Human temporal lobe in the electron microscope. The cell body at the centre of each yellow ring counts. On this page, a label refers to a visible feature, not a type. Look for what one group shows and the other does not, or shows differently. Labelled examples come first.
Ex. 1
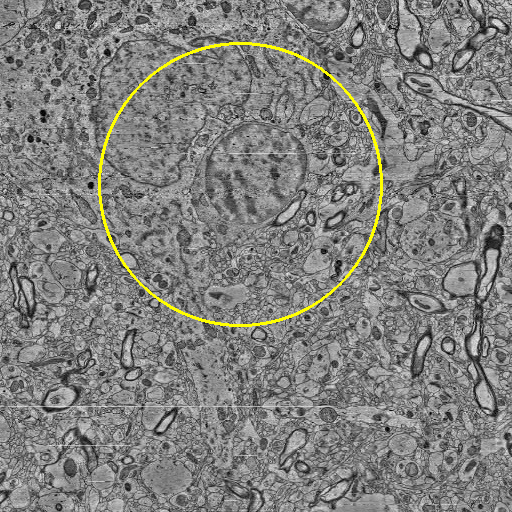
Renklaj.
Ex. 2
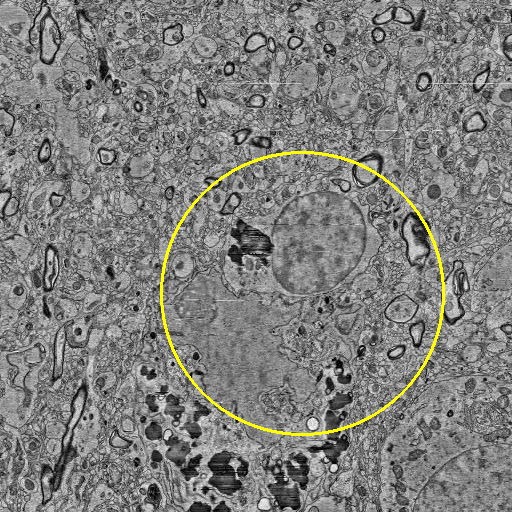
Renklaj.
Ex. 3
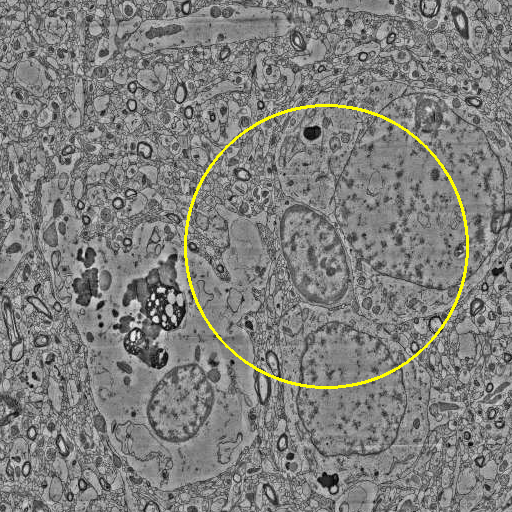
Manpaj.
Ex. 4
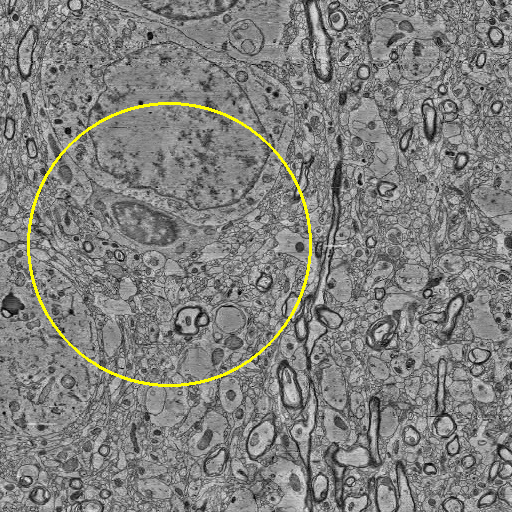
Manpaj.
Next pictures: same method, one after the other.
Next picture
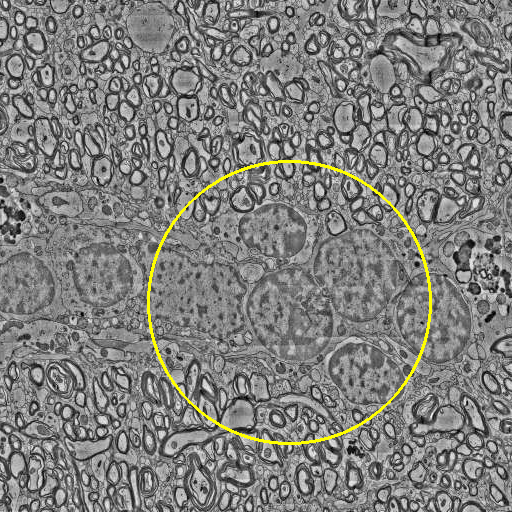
Renklaj.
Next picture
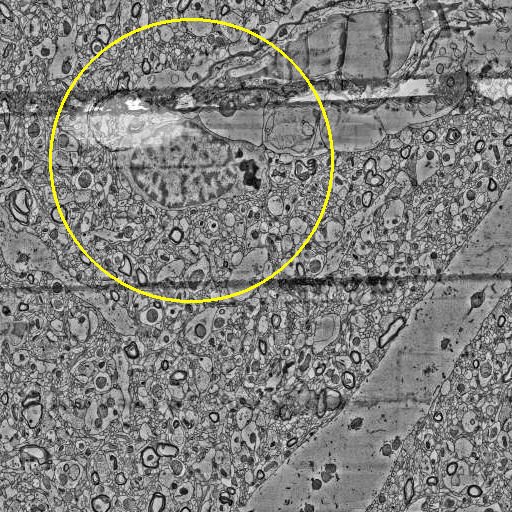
Manpaj.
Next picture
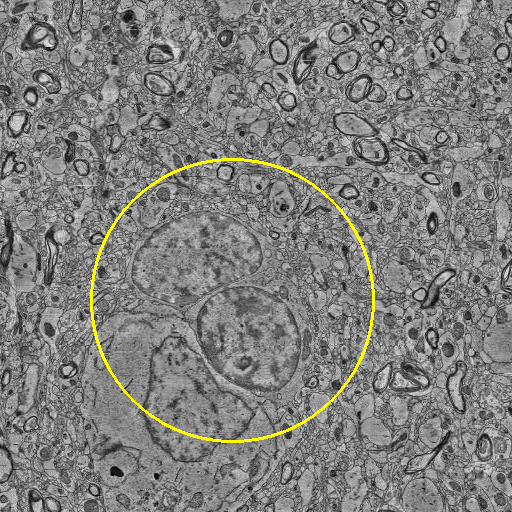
Renklaj.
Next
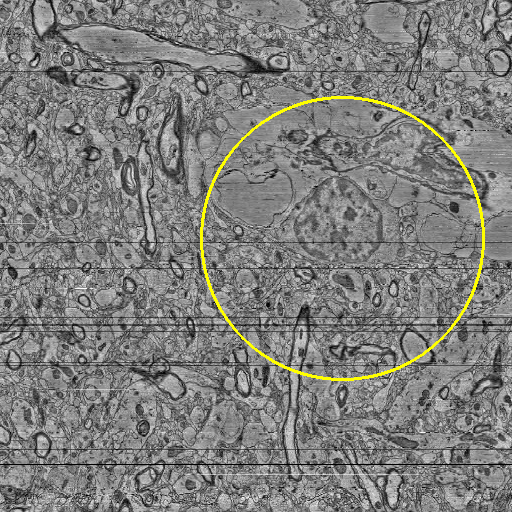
Renklaj.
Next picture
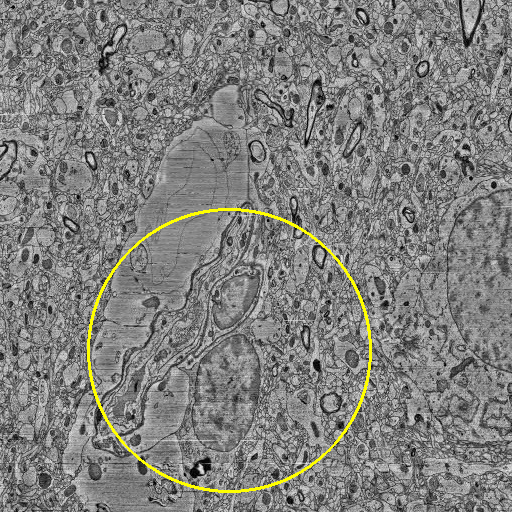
Manpaj.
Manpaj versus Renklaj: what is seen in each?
Manpaj: clearly elongated nuclei; Renklaj: round or nearly round nuclei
